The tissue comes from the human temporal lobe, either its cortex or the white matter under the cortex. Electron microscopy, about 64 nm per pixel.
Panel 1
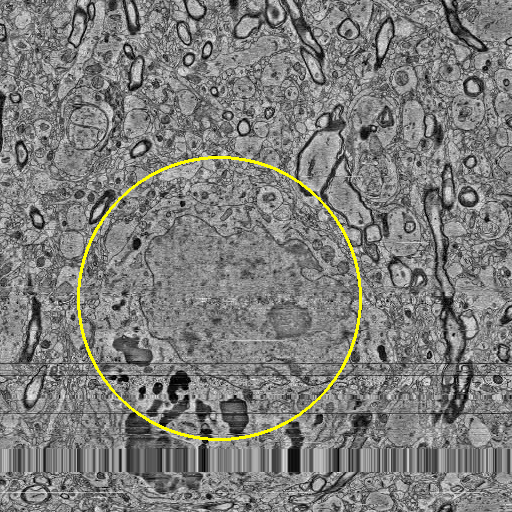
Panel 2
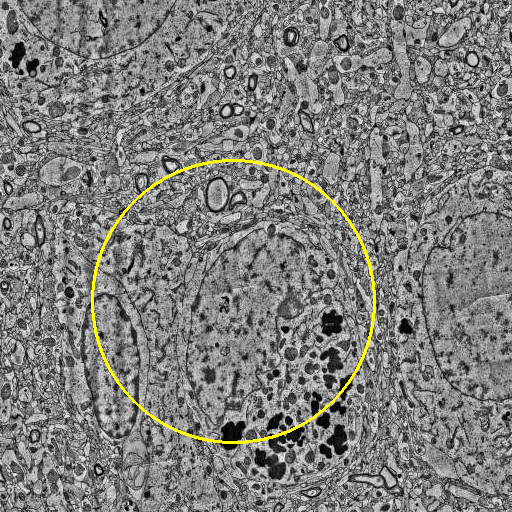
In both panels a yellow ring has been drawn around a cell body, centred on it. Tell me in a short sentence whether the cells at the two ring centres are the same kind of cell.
Yes, they are the same kind of cell.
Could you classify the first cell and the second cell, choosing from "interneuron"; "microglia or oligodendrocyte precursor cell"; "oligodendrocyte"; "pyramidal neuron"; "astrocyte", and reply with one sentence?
Each one of the two ringed cells is an interneuron.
